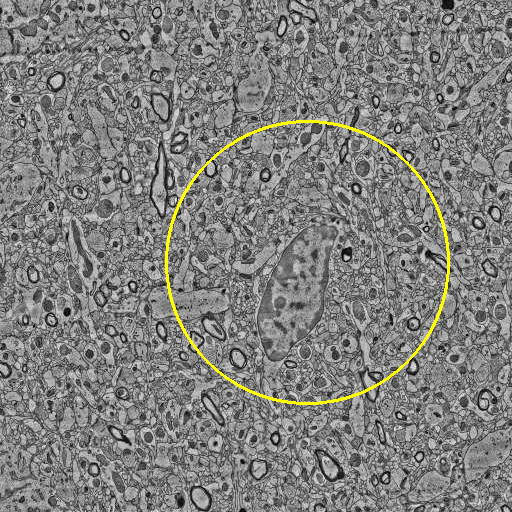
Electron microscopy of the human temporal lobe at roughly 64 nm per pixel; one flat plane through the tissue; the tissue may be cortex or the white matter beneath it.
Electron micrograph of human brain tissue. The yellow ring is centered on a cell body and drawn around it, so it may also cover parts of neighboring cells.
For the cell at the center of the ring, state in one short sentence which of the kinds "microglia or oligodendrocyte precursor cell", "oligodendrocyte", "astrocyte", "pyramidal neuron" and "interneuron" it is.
This ring is centered on a microglial cell or oligodendrocyte precursor cell.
